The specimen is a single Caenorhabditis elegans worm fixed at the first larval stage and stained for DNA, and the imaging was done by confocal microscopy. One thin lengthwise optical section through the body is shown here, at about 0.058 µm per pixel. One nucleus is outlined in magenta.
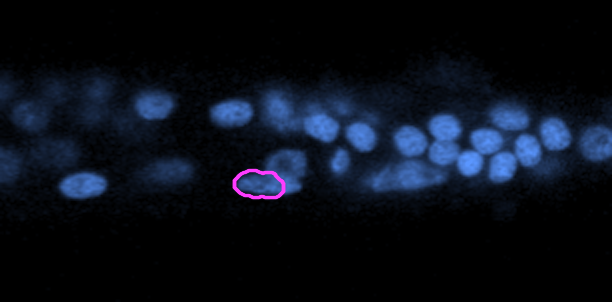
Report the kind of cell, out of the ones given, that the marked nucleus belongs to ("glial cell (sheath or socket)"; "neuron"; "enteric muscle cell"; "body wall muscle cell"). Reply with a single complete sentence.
The marked nucleus is that of a body wall muscle cell.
